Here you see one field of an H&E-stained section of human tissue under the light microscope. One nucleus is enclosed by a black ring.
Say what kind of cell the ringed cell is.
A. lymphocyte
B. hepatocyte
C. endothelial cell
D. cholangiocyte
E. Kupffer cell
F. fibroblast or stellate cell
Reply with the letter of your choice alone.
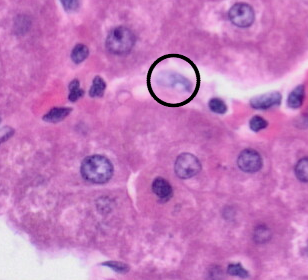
E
